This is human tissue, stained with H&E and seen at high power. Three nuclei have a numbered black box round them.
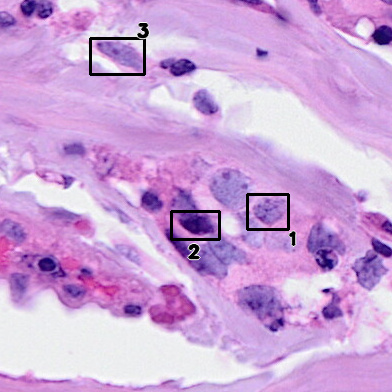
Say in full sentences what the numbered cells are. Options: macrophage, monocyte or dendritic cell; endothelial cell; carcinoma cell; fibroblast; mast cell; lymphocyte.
Cells 1 and 2 are carcinoma cells. Cell 3 is a fibroblast.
